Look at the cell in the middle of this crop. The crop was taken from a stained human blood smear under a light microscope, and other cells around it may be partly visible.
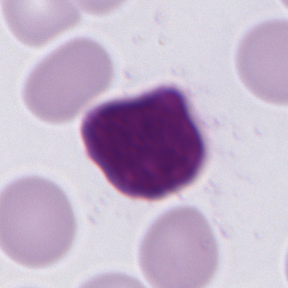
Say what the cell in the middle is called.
smudge cell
